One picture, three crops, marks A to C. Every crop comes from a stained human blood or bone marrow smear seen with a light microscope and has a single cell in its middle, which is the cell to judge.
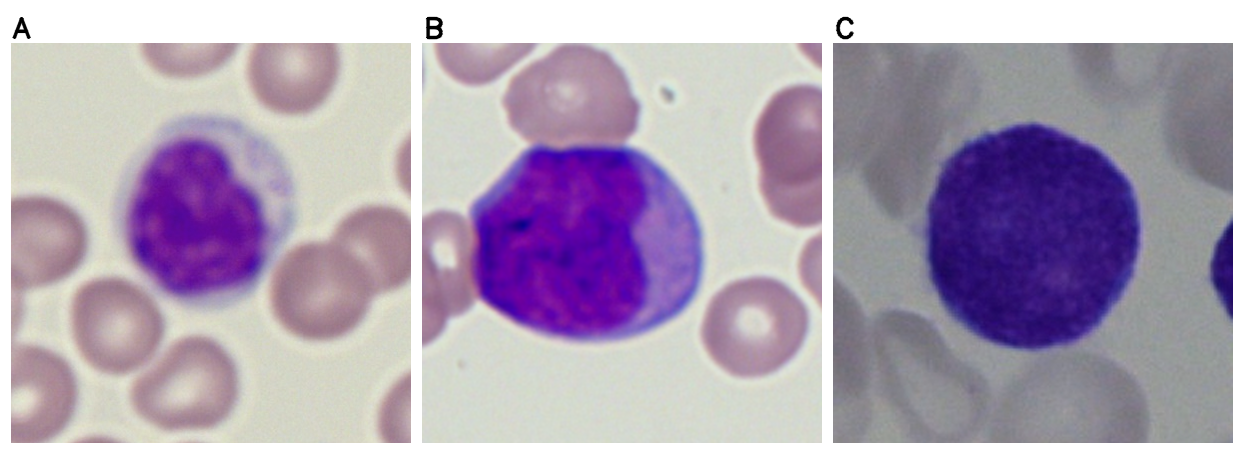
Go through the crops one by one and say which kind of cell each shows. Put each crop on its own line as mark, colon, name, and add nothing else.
A: lymphocyte
B: blast
C: blast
